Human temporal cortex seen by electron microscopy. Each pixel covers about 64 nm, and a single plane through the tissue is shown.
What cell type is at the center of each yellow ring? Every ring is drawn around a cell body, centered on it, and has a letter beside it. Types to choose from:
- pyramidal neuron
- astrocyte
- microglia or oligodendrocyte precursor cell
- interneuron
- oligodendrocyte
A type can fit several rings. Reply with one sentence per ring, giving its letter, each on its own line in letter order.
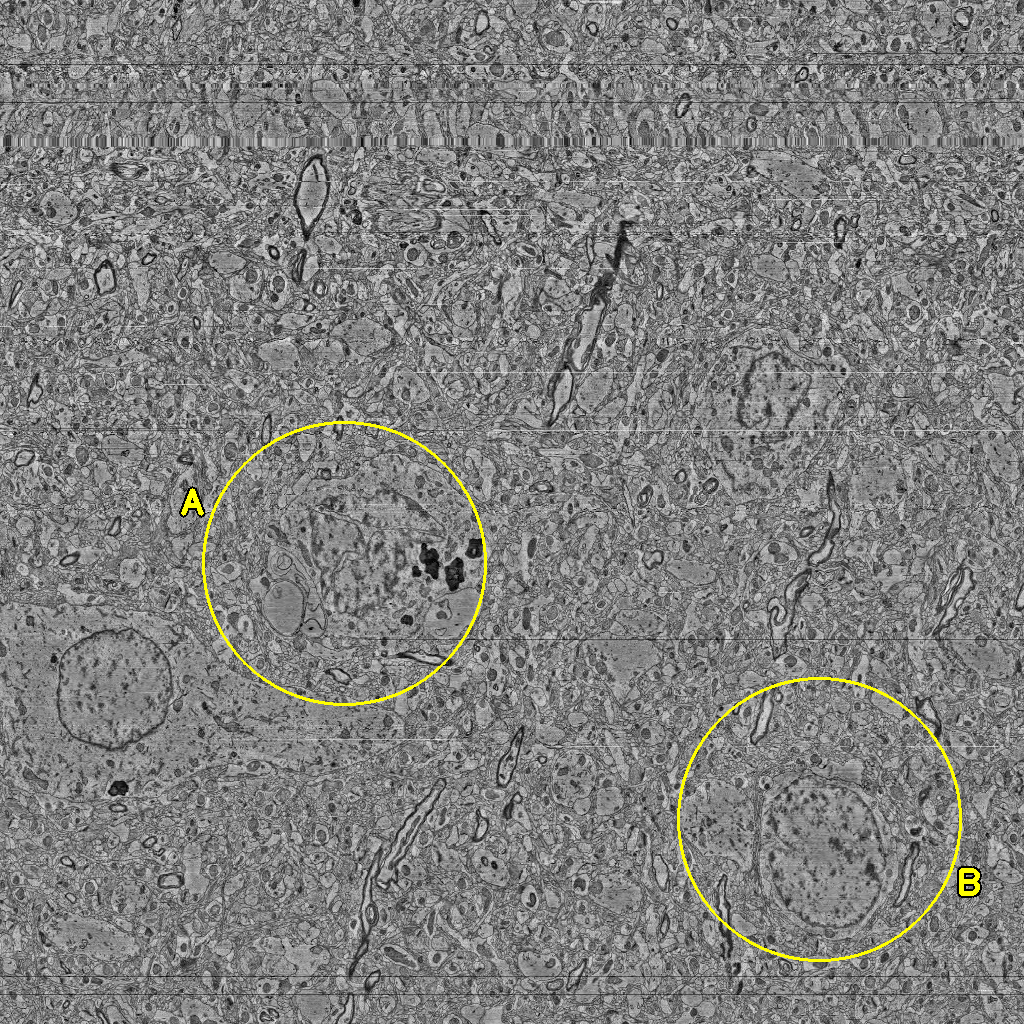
Ring A is placed around an interneuron.
Ring B is placed around an interneuron.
